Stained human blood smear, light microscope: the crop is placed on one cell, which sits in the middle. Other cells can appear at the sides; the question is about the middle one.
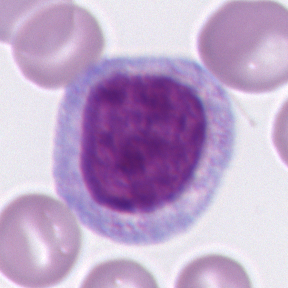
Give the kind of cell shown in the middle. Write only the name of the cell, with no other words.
myelocyte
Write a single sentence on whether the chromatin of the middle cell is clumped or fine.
You can see that its chromatin is coarsely clumped.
